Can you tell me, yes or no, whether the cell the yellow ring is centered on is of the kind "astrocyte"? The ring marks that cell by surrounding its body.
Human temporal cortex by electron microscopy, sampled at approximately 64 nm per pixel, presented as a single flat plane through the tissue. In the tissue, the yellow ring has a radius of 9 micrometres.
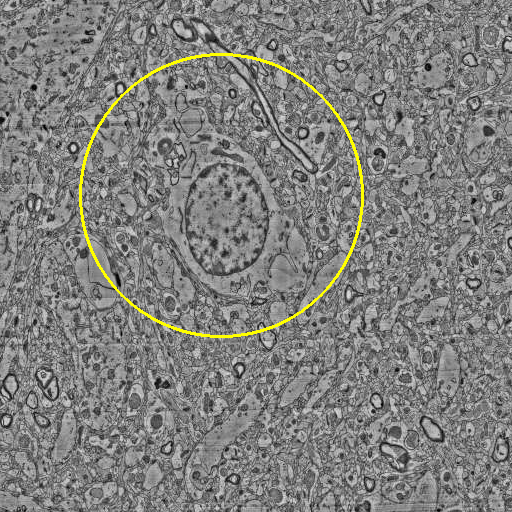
yes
